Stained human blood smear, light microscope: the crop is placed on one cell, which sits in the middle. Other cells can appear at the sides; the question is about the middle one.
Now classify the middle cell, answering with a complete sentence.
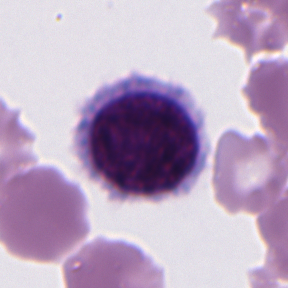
The centrally positioned cell in the crop represents a hairy cell.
